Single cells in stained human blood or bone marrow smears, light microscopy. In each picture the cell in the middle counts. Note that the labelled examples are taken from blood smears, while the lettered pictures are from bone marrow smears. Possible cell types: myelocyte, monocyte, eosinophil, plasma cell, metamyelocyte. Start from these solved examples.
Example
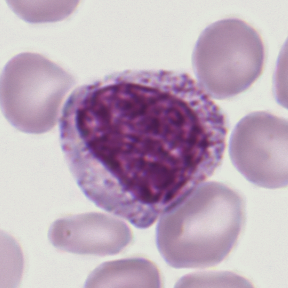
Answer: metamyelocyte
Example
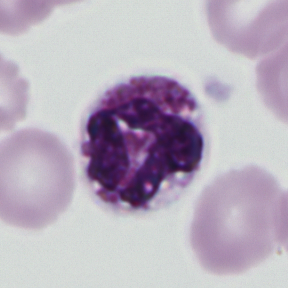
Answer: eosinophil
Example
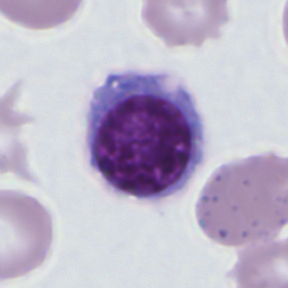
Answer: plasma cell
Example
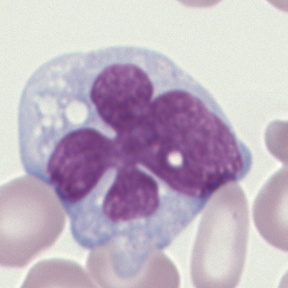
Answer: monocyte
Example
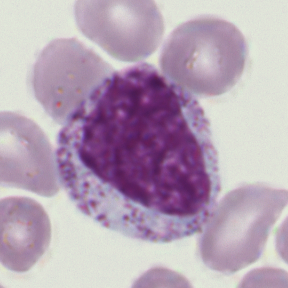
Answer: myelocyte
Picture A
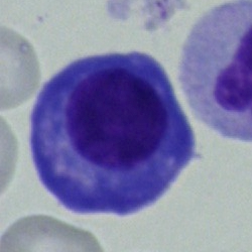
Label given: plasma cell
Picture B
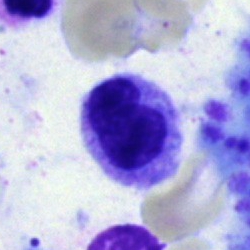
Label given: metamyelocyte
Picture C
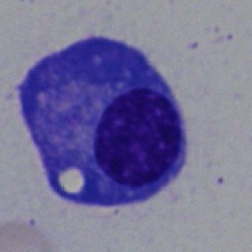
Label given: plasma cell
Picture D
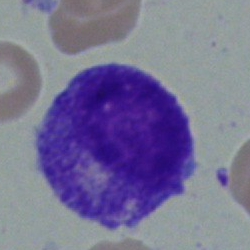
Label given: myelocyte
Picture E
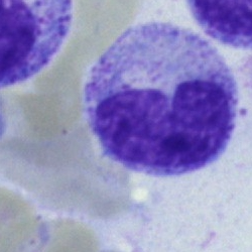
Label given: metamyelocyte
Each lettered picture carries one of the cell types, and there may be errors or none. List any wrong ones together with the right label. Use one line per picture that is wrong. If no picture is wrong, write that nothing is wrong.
All correct.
